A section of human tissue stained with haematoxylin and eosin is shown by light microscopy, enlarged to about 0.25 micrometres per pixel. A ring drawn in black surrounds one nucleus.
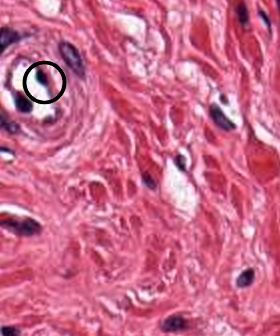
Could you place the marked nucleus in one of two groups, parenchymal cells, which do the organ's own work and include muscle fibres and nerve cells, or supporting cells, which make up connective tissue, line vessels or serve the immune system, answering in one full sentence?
The cell that the marked nucleus belongs to is a supporting cell.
